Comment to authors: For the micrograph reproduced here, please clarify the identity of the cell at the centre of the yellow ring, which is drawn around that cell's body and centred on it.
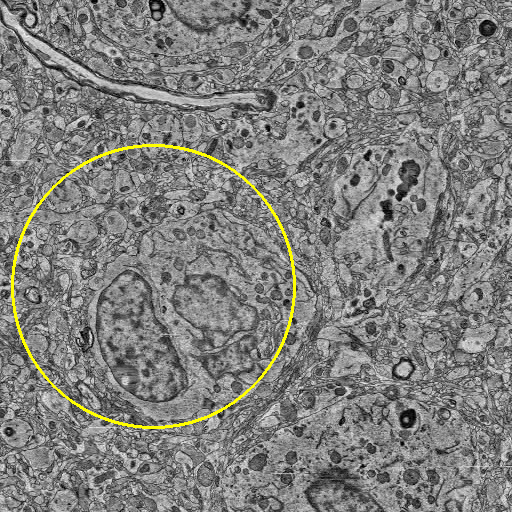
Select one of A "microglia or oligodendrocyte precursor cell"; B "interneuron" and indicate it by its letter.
A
